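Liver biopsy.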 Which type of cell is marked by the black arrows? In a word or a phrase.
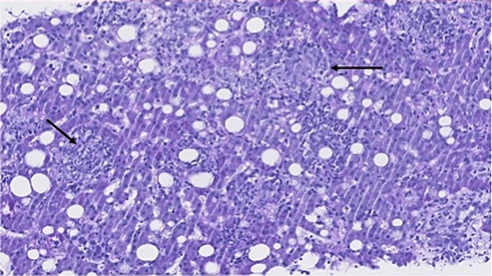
Epithelioid histiocytic cells.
